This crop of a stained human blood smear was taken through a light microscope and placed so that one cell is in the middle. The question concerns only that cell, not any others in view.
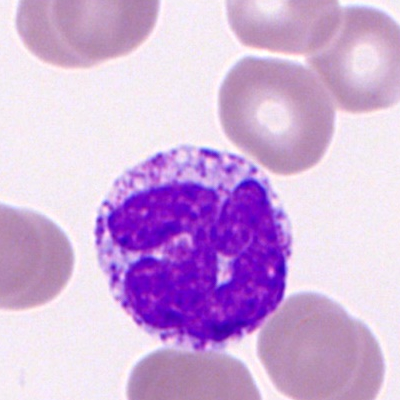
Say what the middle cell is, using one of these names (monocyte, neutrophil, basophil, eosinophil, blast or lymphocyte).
monocyte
